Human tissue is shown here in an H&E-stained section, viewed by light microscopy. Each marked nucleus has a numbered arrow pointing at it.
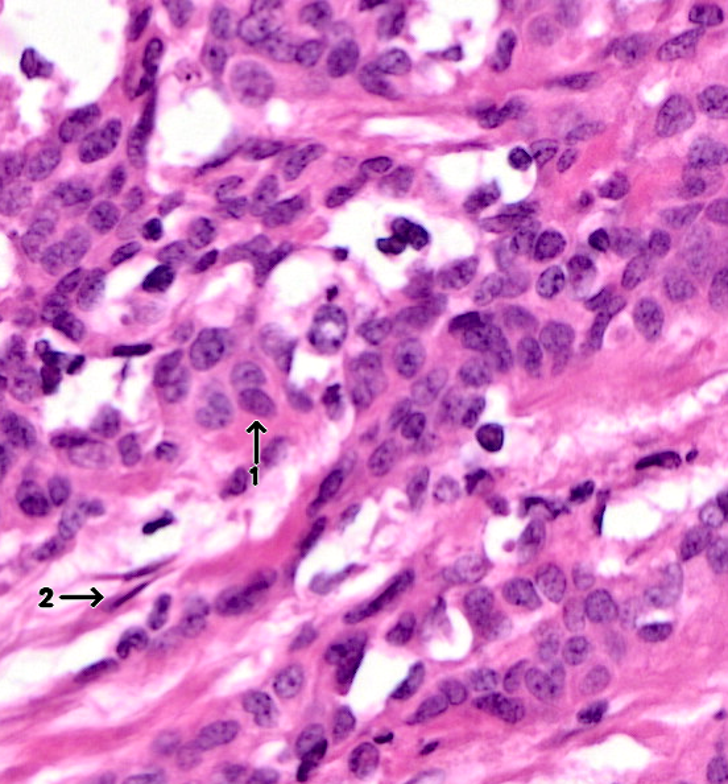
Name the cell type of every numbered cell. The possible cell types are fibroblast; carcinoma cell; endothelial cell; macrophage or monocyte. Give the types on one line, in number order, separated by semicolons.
carcinoma cell; fibroblast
